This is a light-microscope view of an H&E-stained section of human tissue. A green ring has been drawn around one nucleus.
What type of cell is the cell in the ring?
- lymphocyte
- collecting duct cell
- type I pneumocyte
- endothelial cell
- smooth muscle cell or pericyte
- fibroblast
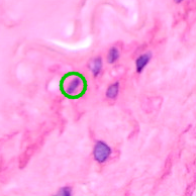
smooth muscle cell or pericyte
